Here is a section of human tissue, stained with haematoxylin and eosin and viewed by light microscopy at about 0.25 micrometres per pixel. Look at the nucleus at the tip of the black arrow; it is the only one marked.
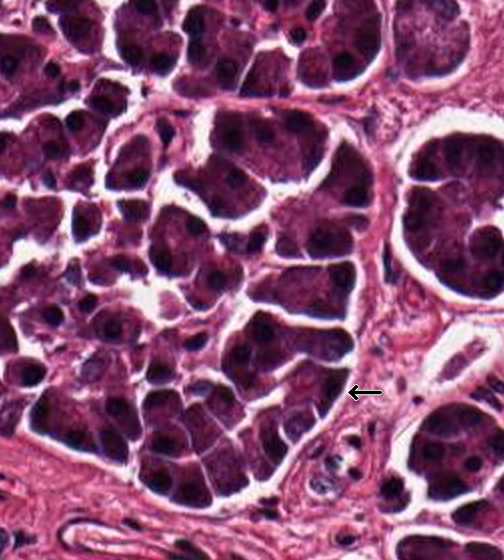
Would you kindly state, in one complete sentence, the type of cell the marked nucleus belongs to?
The cell whose nucleus is marked is a pancreatic acinar cell.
